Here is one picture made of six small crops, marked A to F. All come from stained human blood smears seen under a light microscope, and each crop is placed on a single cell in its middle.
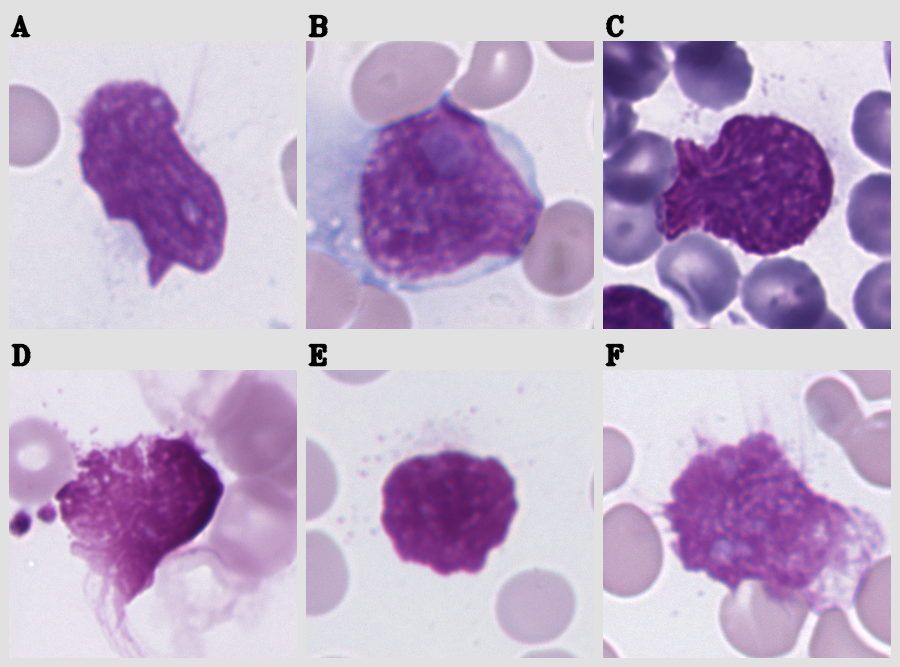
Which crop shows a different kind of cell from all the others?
B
